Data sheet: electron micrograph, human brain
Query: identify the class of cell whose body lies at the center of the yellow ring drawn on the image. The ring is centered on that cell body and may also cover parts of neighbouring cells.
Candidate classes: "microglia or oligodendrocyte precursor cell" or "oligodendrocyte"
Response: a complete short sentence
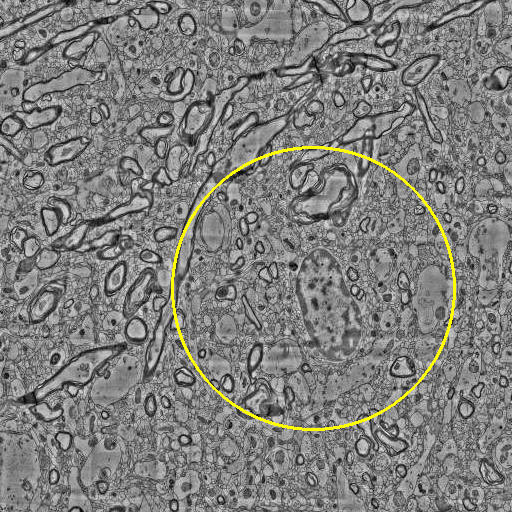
At the center of the ring lies a microglial cell or oligodendrocyte precursor cell.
